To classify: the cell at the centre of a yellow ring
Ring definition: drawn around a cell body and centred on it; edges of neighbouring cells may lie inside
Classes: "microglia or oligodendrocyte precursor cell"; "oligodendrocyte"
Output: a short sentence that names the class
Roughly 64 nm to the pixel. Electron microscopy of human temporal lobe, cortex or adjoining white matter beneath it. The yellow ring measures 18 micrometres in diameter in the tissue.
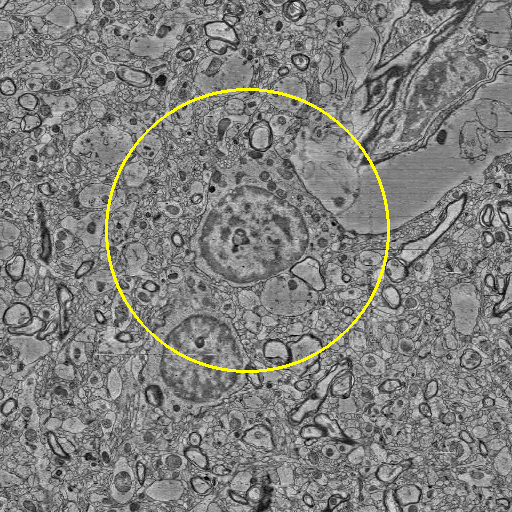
The ringed cell is an oligodendrocyte.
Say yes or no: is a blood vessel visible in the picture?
Yes, a blood vessel shows in the picture.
